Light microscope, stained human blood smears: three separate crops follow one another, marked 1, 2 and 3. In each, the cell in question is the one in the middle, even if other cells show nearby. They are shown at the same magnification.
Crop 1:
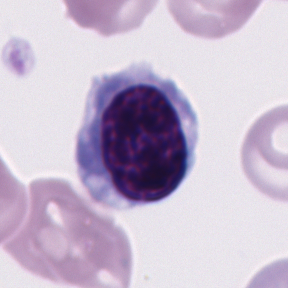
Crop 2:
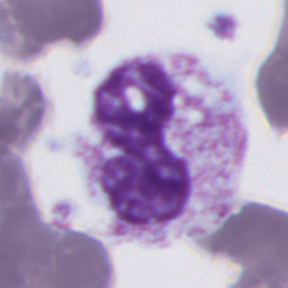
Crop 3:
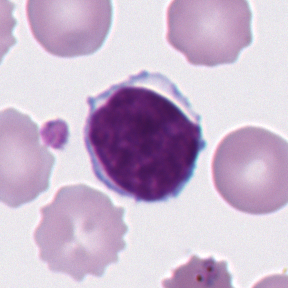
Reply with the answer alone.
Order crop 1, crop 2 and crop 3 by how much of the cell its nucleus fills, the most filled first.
3, 1, 2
